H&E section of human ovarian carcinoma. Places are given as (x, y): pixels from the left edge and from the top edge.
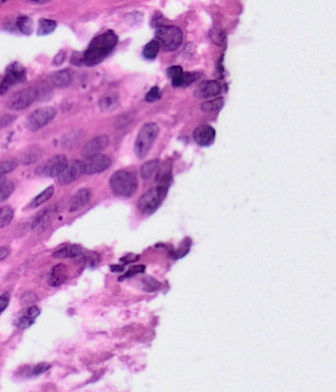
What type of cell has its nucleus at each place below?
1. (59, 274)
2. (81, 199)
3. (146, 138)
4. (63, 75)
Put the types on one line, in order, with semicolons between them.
carcinoma cell; carcinoma cell; macrophage or monocyte; carcinoma cell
